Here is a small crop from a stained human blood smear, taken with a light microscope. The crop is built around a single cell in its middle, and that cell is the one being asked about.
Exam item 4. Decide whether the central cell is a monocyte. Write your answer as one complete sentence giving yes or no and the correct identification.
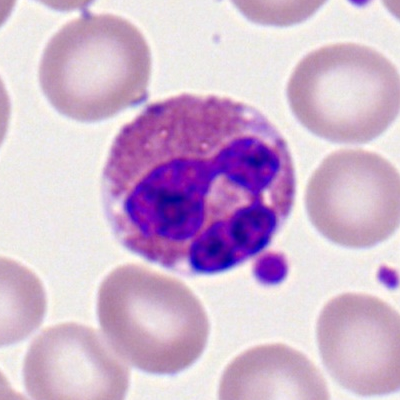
No, the cell positioned in the middle is an eosinophil, not a monocyte.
